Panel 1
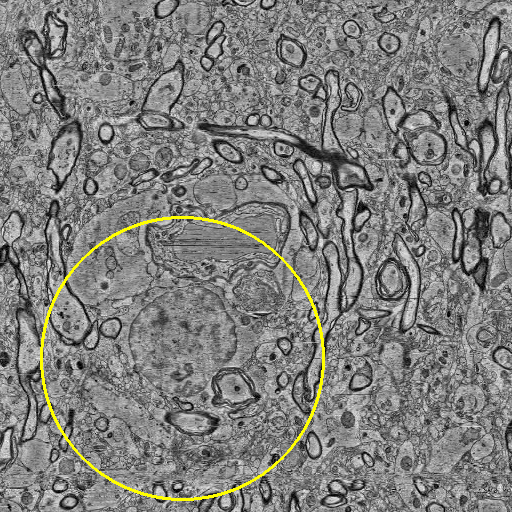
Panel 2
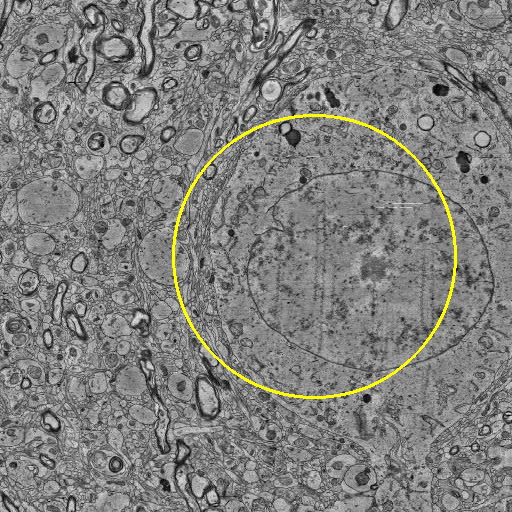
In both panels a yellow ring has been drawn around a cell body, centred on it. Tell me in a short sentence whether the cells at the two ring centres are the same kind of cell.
No, they are two kinds of cell.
